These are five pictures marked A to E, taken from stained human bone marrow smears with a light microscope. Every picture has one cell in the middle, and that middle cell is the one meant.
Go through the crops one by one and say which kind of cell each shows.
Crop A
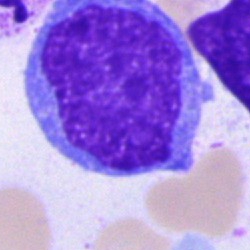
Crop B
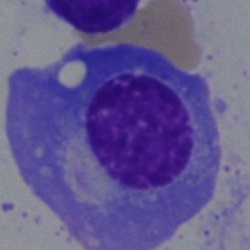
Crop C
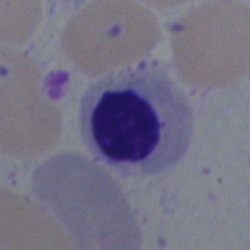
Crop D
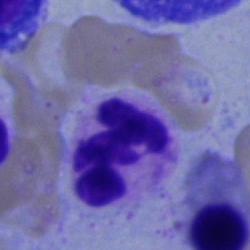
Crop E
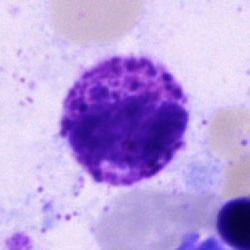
A: blast
B: plasma cell
C: erythroblast
D: segmented neutrophil
E: basophil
